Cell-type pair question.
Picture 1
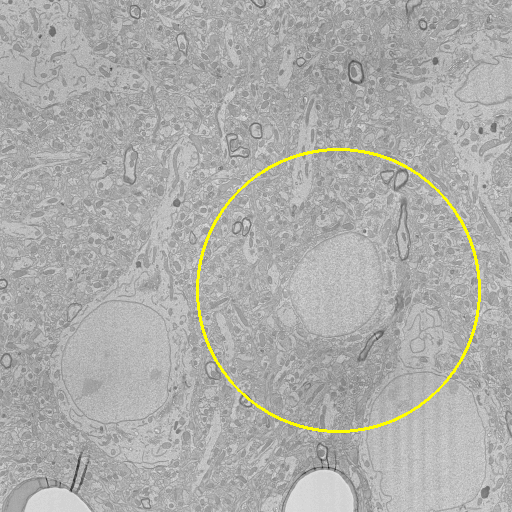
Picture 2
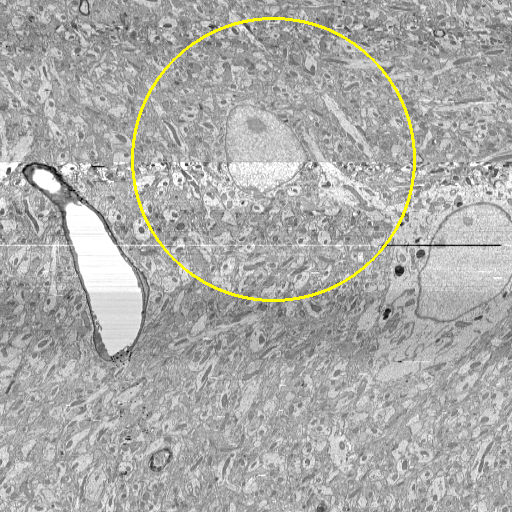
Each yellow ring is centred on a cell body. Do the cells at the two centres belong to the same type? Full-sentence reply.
Yes, the two cells belong to the same type.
